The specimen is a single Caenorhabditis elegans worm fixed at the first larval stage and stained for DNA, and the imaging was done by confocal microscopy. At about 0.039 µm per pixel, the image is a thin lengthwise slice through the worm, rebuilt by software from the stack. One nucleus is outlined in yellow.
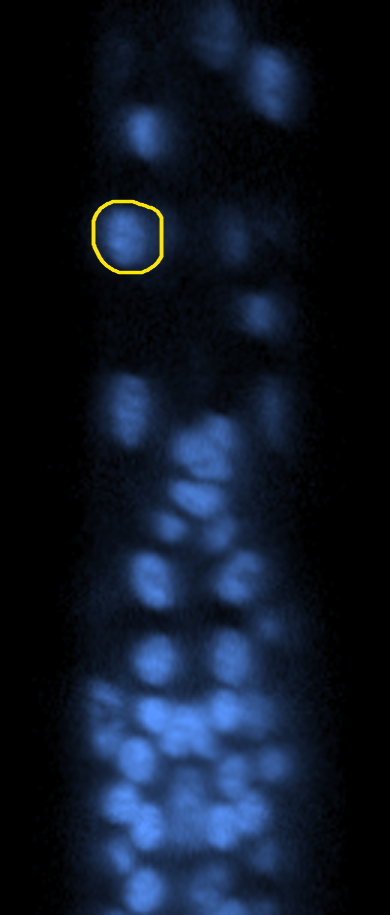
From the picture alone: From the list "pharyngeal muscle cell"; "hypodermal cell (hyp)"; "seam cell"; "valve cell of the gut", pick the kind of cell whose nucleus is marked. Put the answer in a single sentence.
This is the nucleus of a seam cell.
